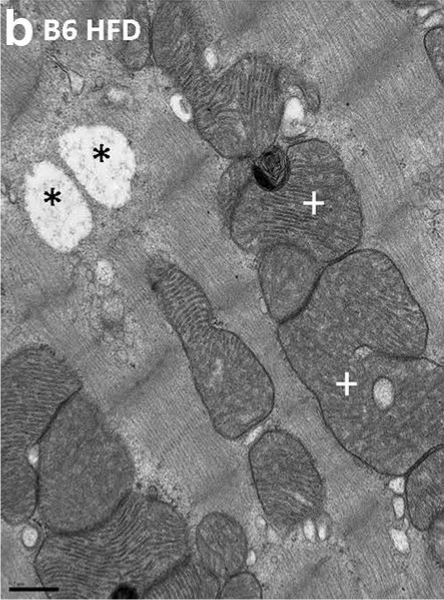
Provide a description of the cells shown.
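Cardiac muscle is seen at high magnification, with striated myofibrils running diagonally and large, dark mitochondria packed with cristae lying in rows between them. In the upper left, two round, pale, finely granular bodies sit side by side in the cytoplasm, lacking the membranes and cristae of the mitochondria around them. One of the large mitochondria holds a small round pale inclusion within it. These pale bodies are lipid droplets, some free in the cytoplasm and some inside mitochondria.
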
